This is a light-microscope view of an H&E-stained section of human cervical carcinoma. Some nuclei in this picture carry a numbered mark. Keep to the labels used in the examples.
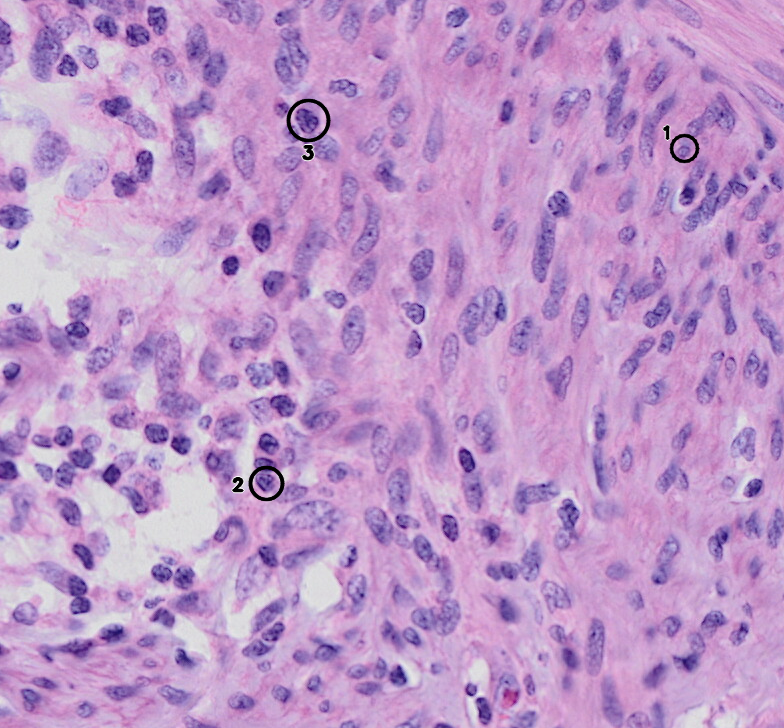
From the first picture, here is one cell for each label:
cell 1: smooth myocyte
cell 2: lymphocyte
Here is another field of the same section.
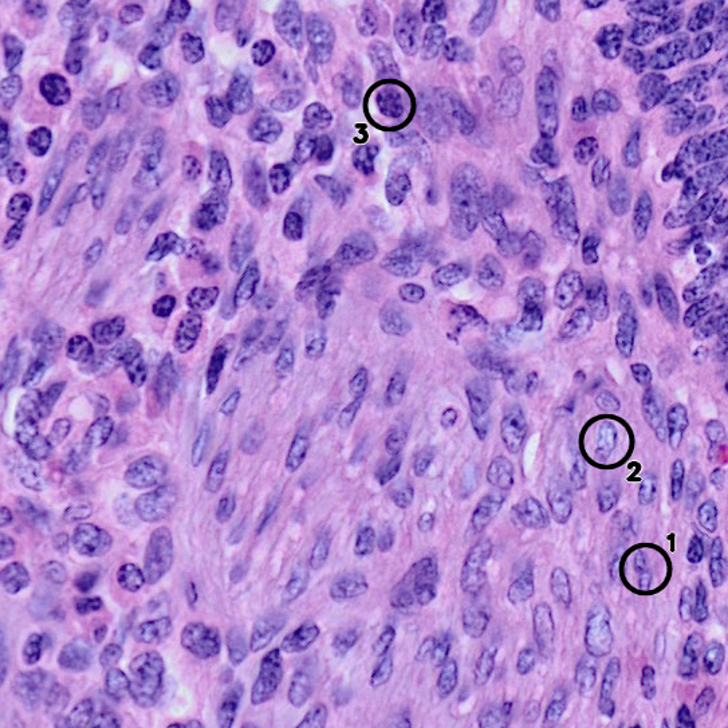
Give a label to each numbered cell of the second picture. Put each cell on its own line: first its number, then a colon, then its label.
1: smooth myocyte
2: smooth myocyte
3: lymphocyte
